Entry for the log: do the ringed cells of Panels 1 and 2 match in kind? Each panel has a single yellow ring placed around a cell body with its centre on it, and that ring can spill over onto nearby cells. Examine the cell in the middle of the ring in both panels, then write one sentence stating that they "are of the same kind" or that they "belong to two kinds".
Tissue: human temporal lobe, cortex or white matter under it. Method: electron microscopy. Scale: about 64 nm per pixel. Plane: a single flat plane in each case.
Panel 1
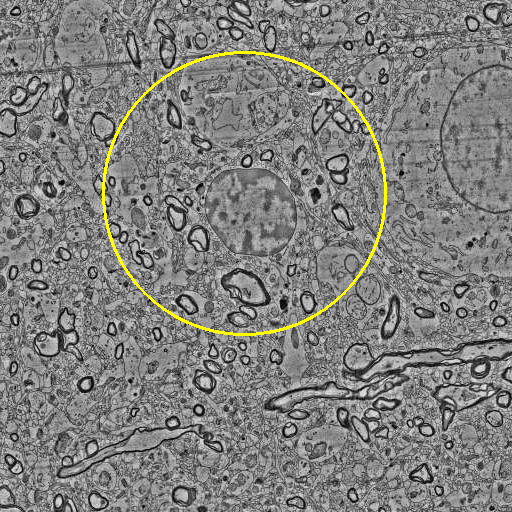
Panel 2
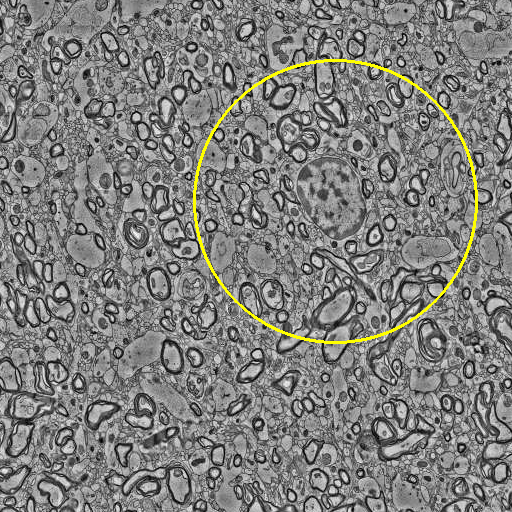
The centre cell of Panel 1's ring and that of Panel 2's ring are of the same kind.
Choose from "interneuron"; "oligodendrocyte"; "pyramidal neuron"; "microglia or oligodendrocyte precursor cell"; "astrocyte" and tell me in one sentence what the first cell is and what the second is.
The cell in the first picture is a microglial cell or oligodendrocyte precursor cell, and so is the one in the second.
